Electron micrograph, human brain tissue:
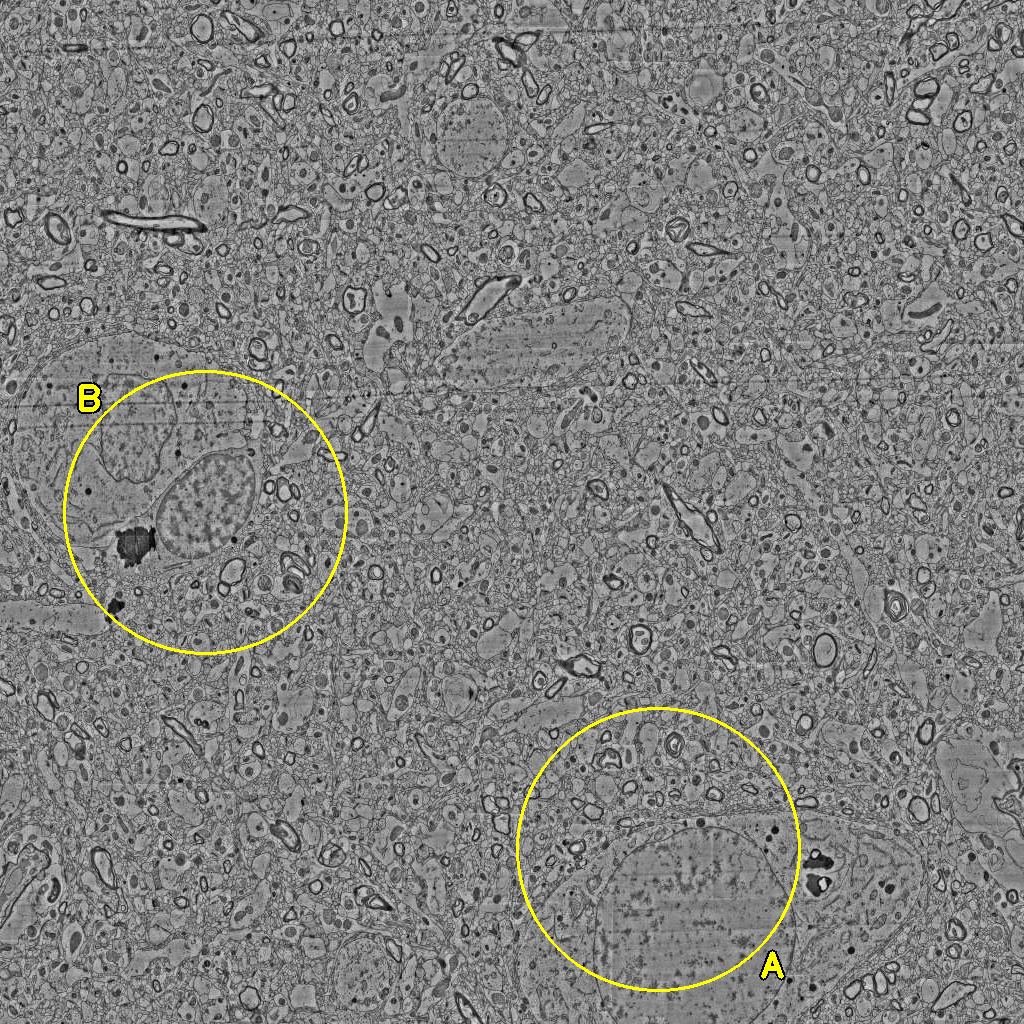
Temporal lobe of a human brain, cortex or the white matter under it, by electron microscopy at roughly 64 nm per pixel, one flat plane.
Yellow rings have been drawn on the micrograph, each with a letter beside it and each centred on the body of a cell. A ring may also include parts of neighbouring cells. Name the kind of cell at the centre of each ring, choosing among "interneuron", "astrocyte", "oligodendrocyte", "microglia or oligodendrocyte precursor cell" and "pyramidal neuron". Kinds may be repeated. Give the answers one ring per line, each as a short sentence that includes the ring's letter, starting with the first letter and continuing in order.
Ring A is placed on a pyramidal neuron.
Ring B is placed on an oligodendrocyte.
